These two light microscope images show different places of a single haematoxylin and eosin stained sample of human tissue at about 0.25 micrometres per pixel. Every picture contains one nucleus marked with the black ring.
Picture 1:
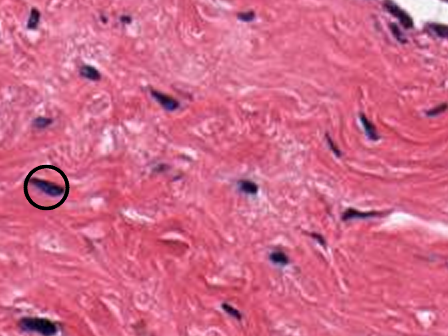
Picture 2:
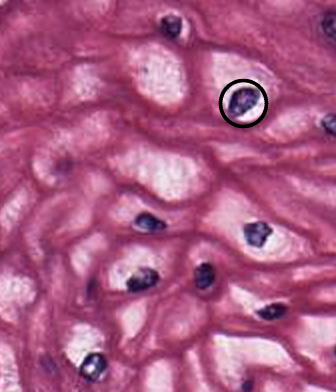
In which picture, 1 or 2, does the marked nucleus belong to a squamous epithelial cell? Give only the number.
2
